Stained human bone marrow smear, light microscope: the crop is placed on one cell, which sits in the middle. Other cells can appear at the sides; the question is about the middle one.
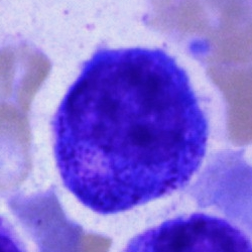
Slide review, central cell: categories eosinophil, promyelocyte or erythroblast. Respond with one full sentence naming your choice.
At the center of the crop sits a promyelocyte.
